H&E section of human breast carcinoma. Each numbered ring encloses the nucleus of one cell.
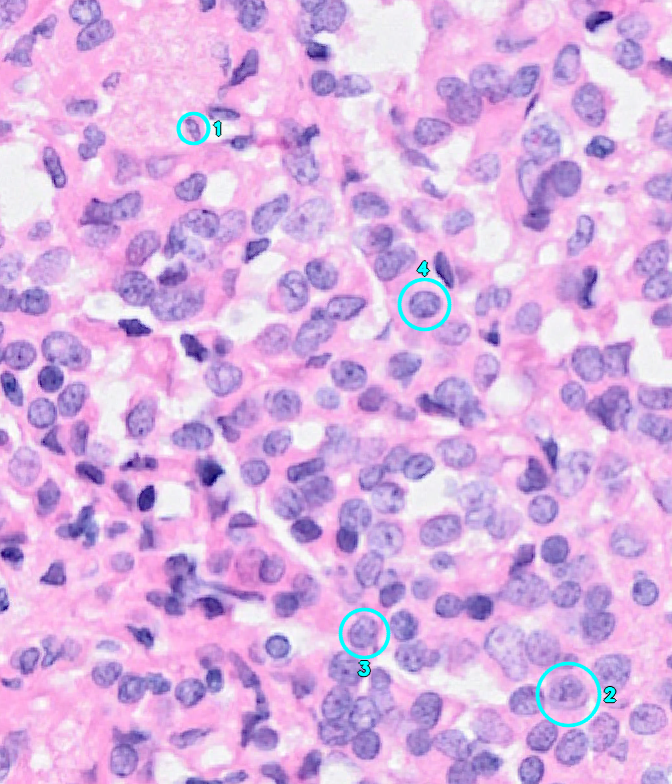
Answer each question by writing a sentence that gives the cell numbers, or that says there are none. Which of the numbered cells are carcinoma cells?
The cells tagged 2, 3 and 4 are carcinoma cells in this tissue section.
